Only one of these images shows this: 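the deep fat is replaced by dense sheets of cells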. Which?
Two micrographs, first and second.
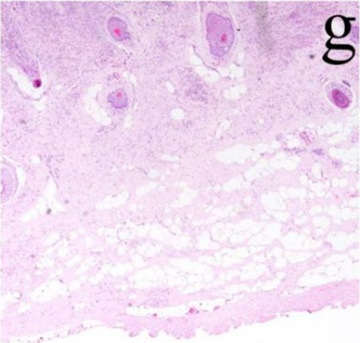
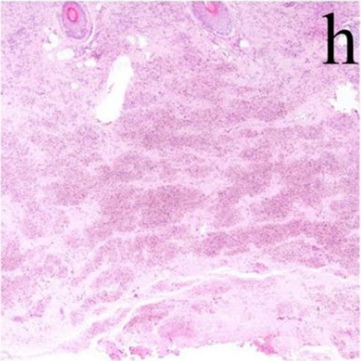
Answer: The second image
